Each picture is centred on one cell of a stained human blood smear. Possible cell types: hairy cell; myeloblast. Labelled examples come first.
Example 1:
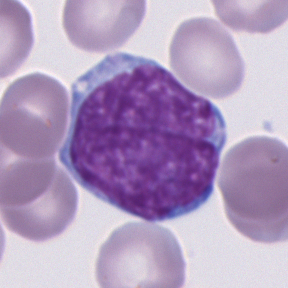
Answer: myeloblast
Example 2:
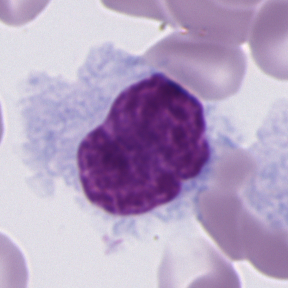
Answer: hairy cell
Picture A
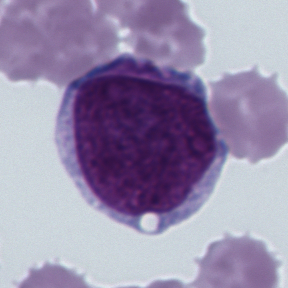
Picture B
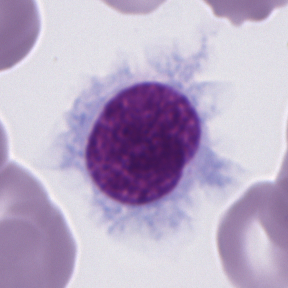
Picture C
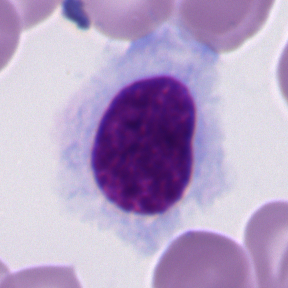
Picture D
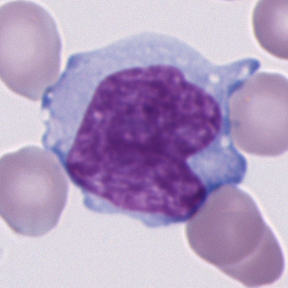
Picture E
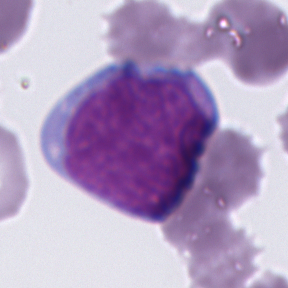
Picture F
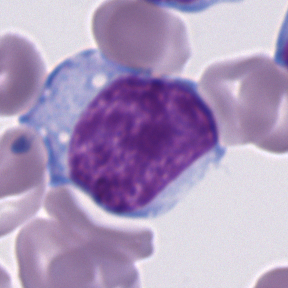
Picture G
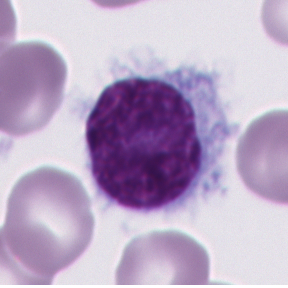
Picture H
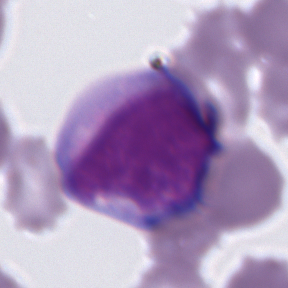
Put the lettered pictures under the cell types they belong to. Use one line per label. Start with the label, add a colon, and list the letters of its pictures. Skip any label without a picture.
hairy cell: B, C, G
myeloblast: A, D, E, F, H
